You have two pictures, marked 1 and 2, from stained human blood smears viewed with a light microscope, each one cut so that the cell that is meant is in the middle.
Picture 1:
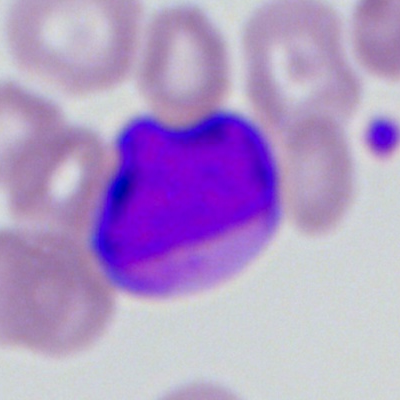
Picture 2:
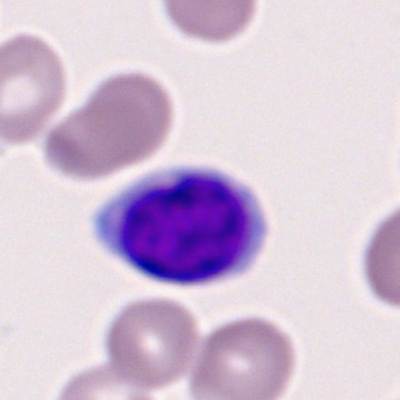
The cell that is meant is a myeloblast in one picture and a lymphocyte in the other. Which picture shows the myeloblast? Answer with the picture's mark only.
1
